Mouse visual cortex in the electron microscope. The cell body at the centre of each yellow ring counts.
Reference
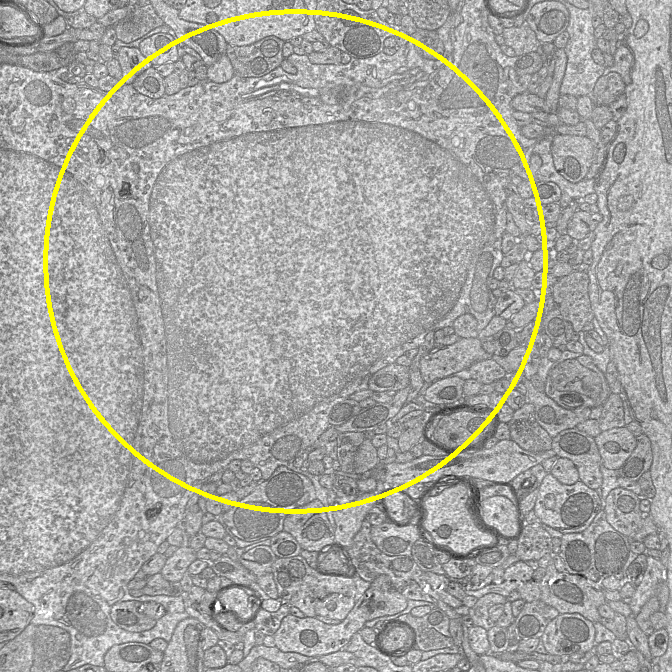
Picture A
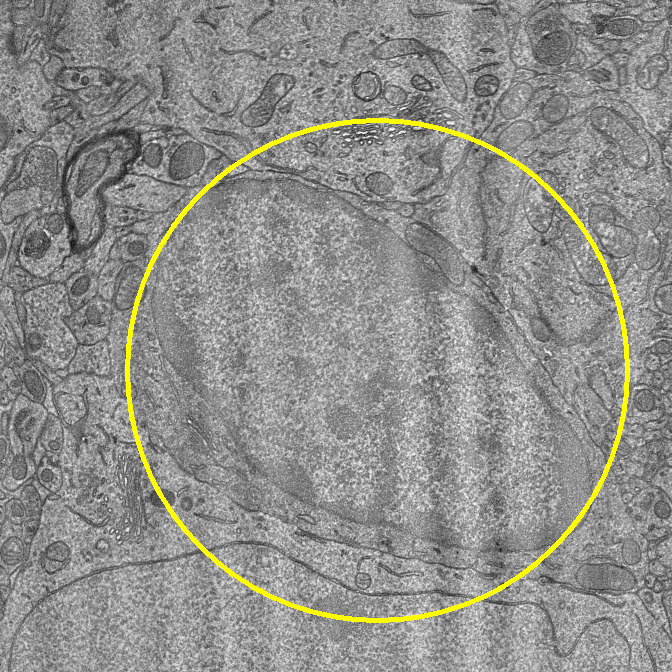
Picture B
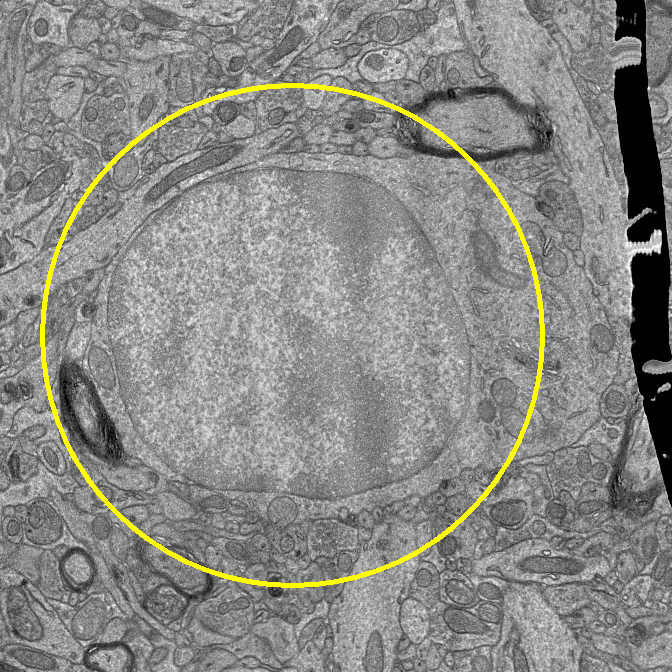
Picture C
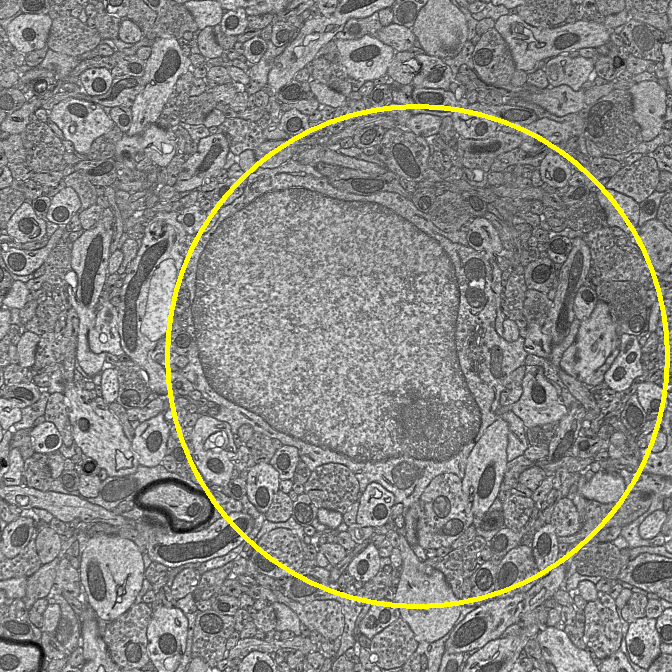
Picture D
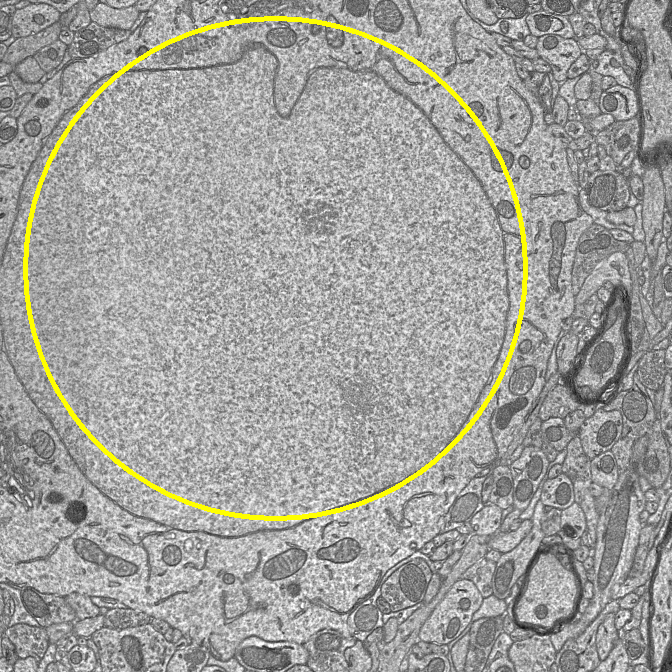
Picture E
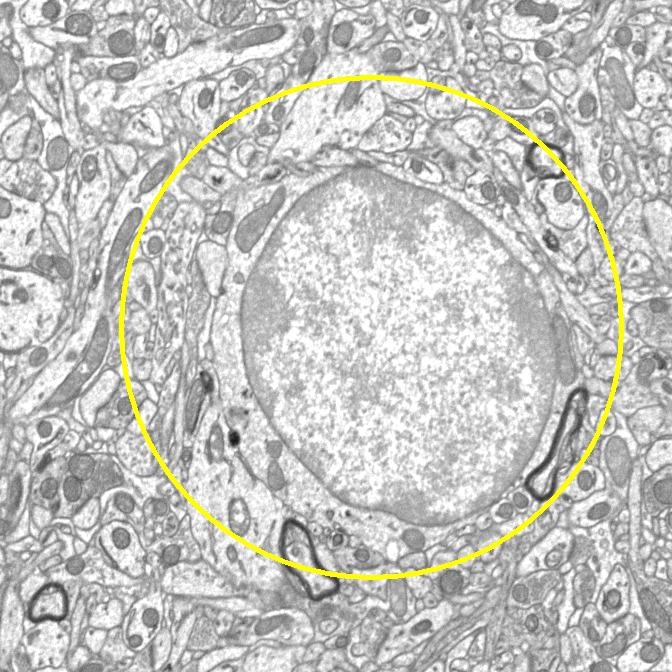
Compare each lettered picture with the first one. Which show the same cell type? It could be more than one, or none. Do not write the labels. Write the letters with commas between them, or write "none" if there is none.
C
